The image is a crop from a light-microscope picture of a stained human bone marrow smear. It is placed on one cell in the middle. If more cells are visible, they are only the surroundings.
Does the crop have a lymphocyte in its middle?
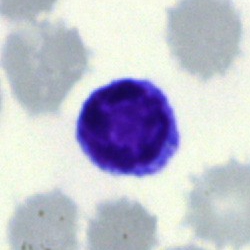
yes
